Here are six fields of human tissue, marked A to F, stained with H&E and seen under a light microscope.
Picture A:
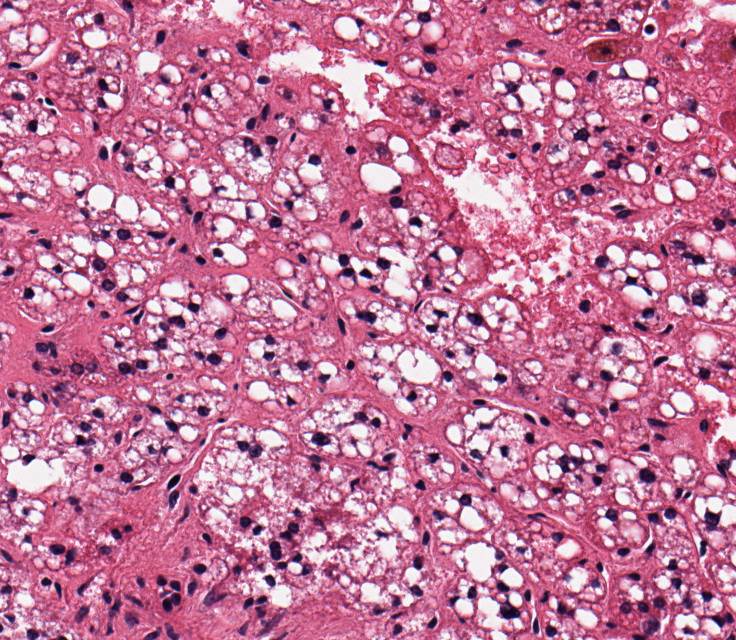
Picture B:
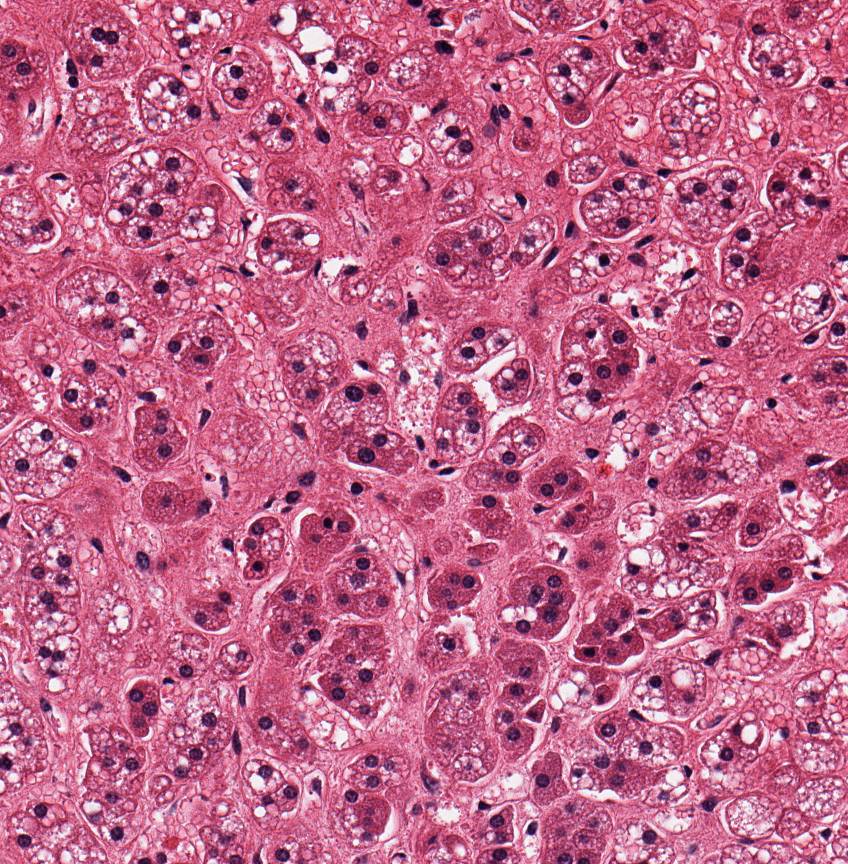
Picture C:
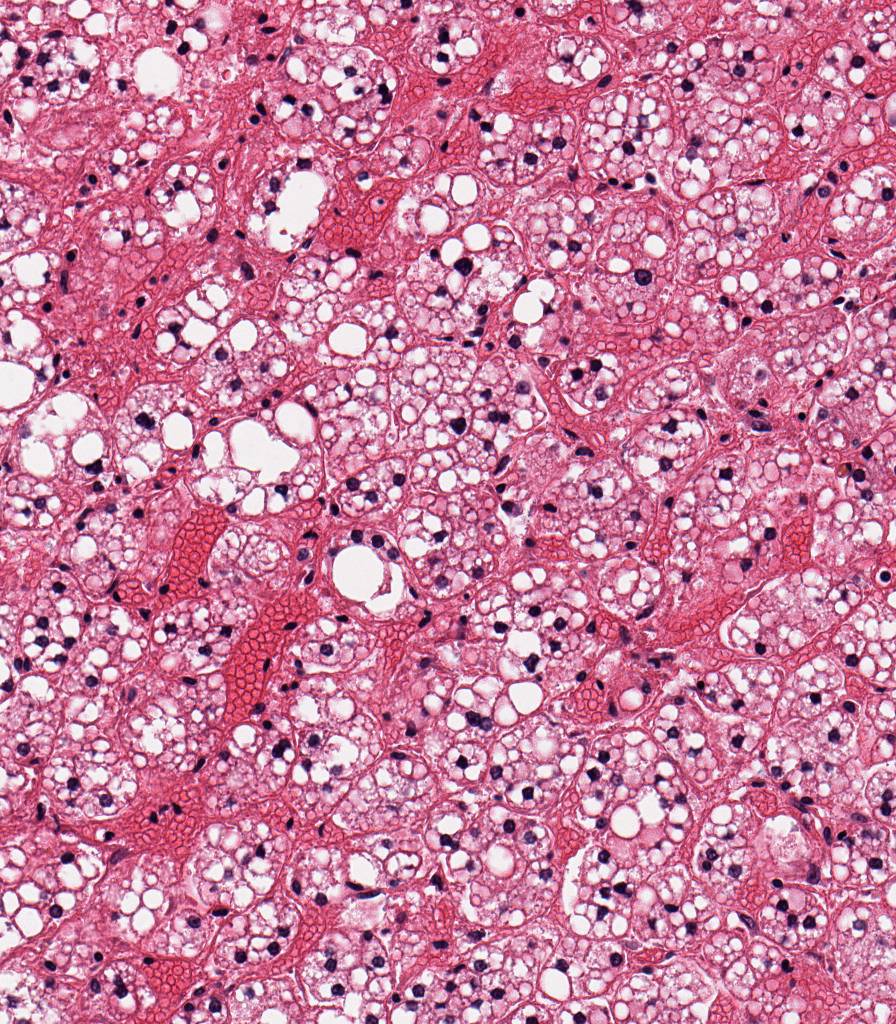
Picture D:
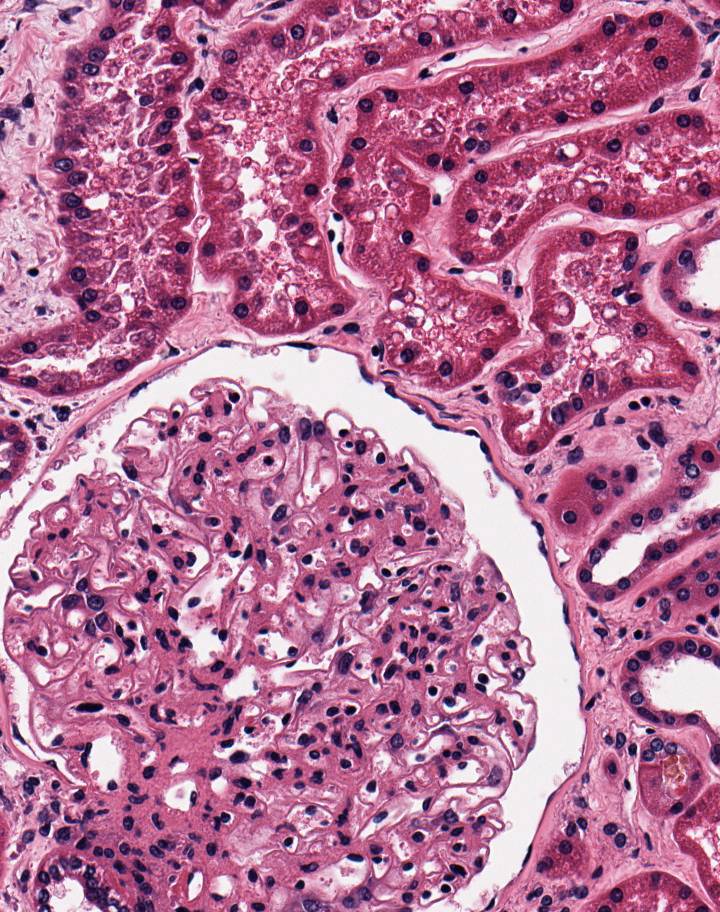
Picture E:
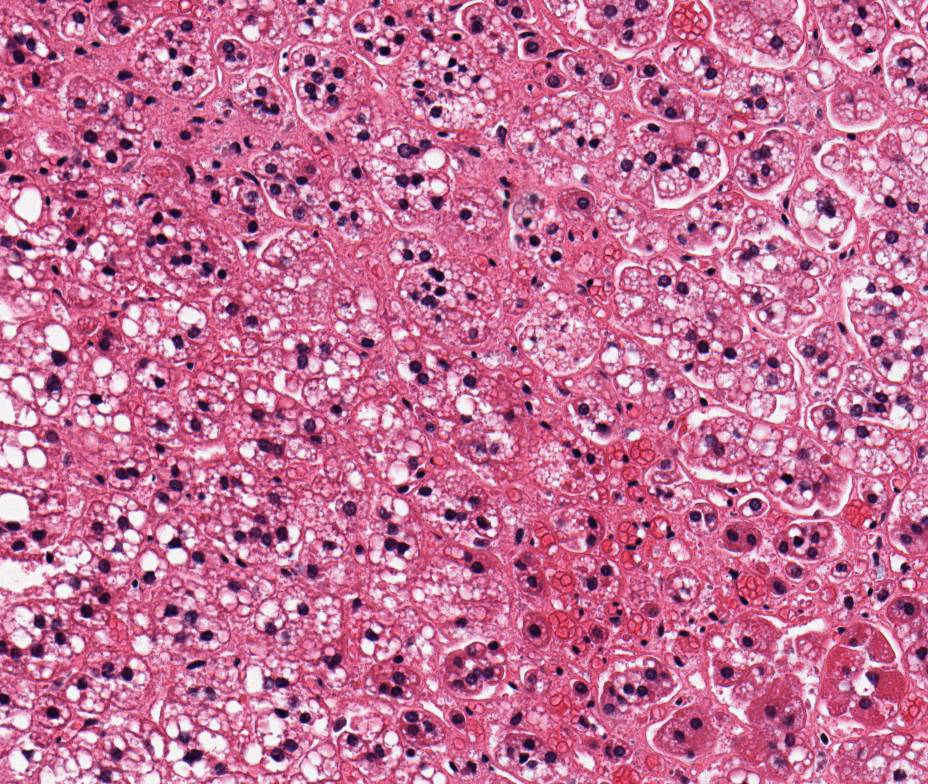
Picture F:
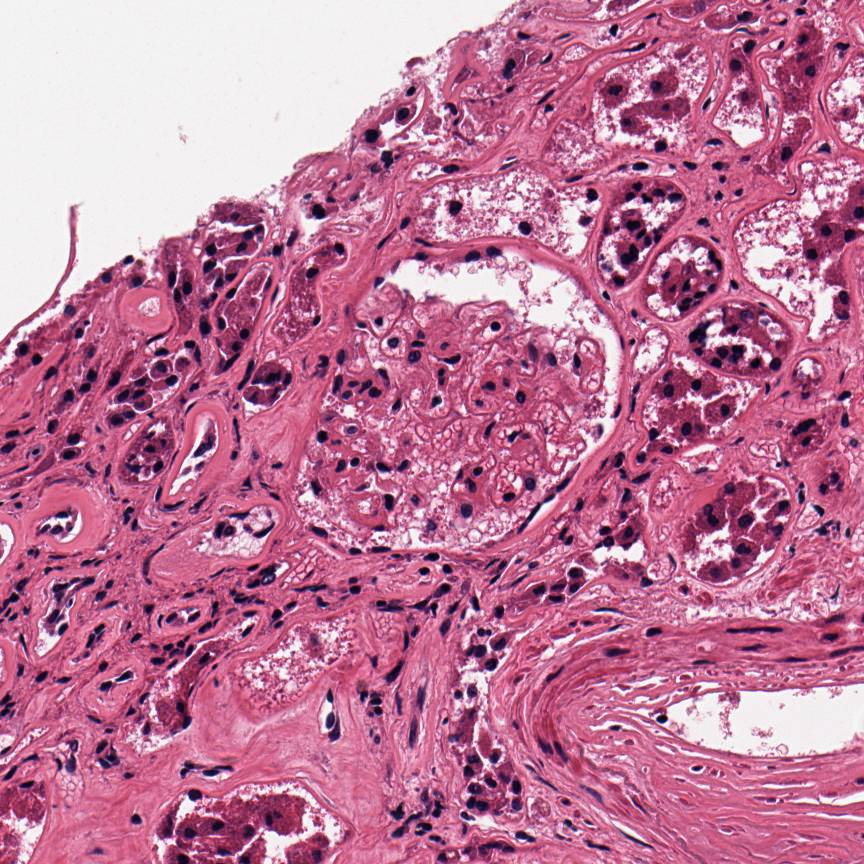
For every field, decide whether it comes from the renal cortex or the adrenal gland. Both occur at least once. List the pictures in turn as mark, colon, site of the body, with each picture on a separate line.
A: adrenal gland
B: adrenal gland
C: adrenal gland
D: renal cortex
E: adrenal gland
F: renal cortex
